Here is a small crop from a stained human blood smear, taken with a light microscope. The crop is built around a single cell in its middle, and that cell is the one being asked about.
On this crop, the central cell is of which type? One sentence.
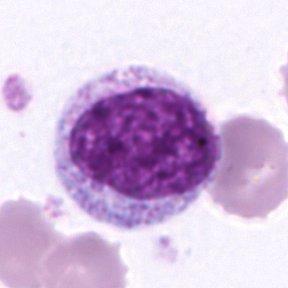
This crop has a myelocyte at its centre.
